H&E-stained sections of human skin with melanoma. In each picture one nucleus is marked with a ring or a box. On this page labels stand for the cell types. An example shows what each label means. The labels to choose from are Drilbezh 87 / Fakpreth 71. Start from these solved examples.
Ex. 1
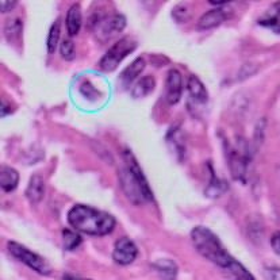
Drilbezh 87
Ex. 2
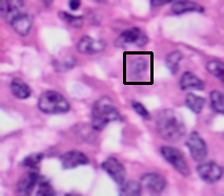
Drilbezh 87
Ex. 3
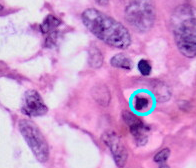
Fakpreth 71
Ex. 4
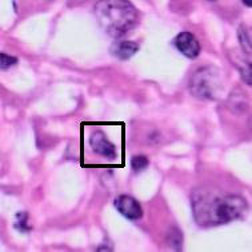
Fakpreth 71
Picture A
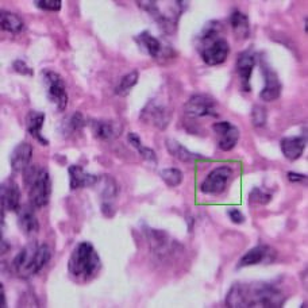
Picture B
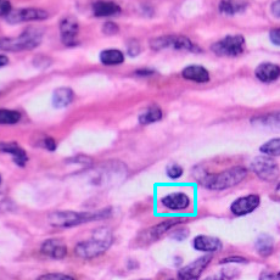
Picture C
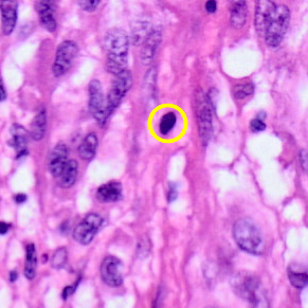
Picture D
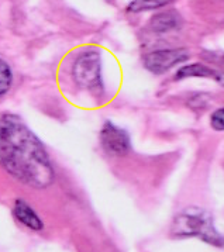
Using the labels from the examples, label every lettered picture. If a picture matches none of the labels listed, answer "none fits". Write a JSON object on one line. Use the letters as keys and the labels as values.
{"A": "none fits", "B": "Fakpreth 71", "C": "Fakpreth 71", "D": "Drilbezh 87"}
